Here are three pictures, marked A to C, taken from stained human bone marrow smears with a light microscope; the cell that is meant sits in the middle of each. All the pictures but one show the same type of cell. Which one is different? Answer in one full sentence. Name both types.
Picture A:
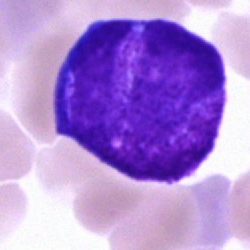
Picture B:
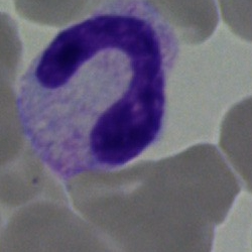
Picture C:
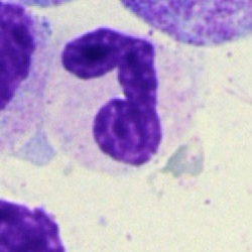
All pictures except A show band neutrophils; picture A shows a blast.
